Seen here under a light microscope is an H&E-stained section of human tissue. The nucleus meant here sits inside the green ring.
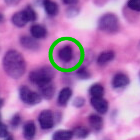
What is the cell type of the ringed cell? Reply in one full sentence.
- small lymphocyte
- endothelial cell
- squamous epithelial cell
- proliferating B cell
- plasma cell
At the level of cell identity, the ringed cell is an endothelial cell.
